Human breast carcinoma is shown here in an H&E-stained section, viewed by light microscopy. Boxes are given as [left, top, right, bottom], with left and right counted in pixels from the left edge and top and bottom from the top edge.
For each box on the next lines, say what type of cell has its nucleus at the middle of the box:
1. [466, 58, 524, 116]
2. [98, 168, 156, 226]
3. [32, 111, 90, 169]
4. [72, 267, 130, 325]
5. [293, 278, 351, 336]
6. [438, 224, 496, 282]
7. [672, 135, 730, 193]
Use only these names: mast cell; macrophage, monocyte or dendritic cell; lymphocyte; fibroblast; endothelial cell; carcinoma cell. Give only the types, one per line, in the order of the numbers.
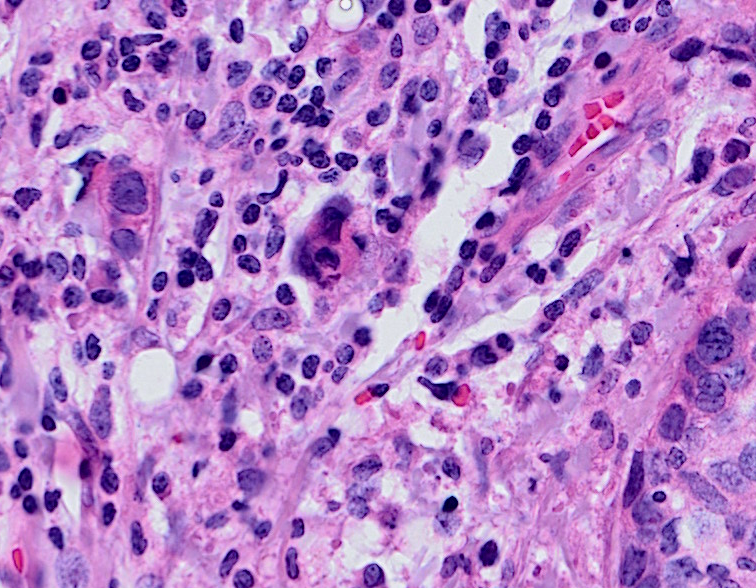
lymphocyte
carcinoma cell
lymphocyte
lymphocyte
macrophage, monocyte or dendritic cell
lymphocyte
carcinoma cell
